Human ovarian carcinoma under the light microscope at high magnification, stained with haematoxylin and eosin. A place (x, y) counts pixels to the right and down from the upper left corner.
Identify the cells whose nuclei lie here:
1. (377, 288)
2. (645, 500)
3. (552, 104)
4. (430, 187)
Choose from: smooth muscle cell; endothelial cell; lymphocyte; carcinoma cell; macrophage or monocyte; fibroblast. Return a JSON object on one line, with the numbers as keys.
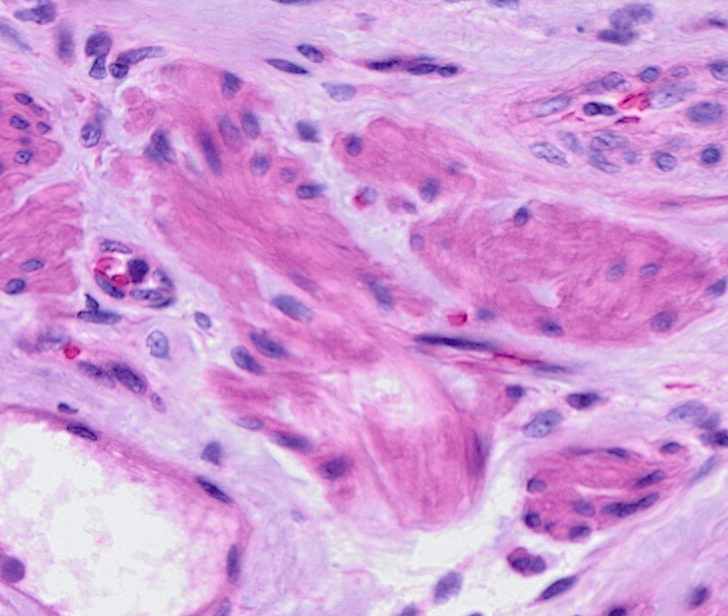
{"1": "smooth muscle cell", "2": "smooth muscle cell", "3": "endothelial cell", "4": "smooth muscle cell"}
